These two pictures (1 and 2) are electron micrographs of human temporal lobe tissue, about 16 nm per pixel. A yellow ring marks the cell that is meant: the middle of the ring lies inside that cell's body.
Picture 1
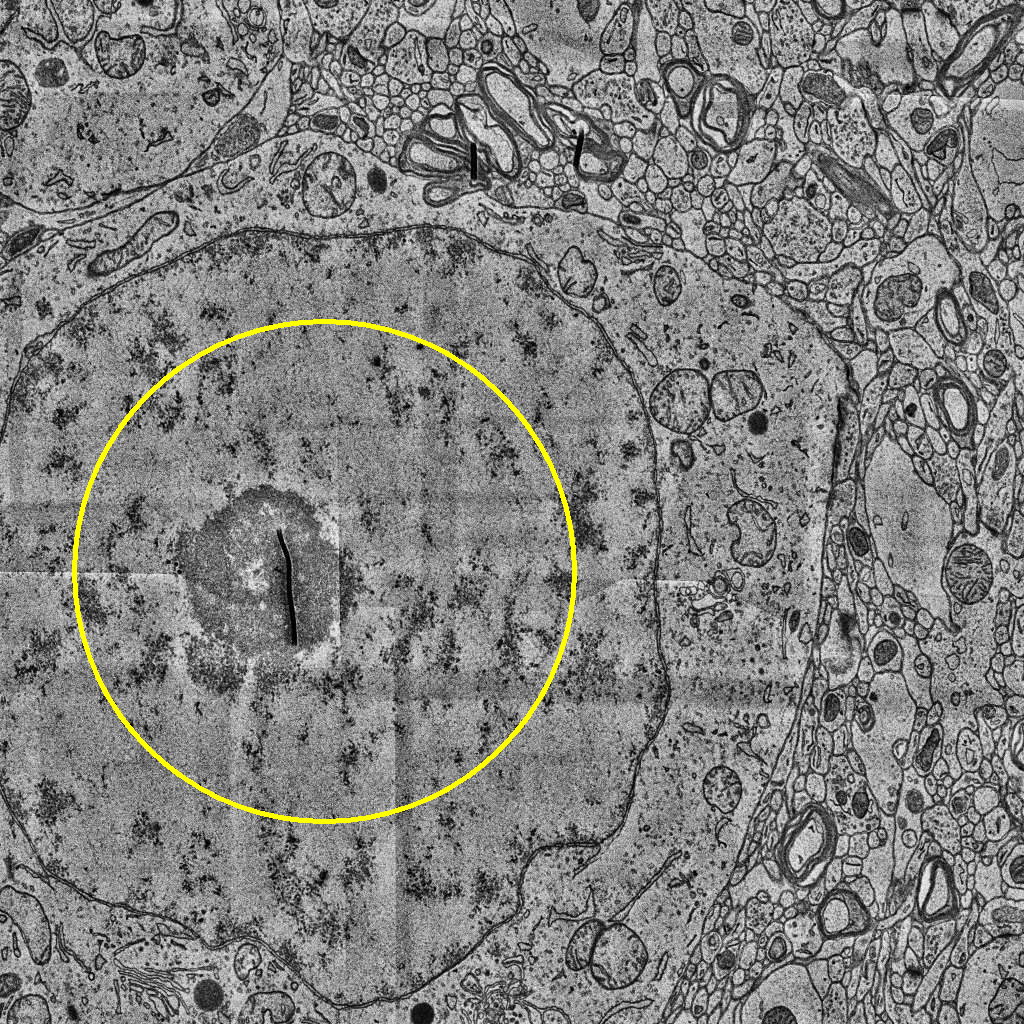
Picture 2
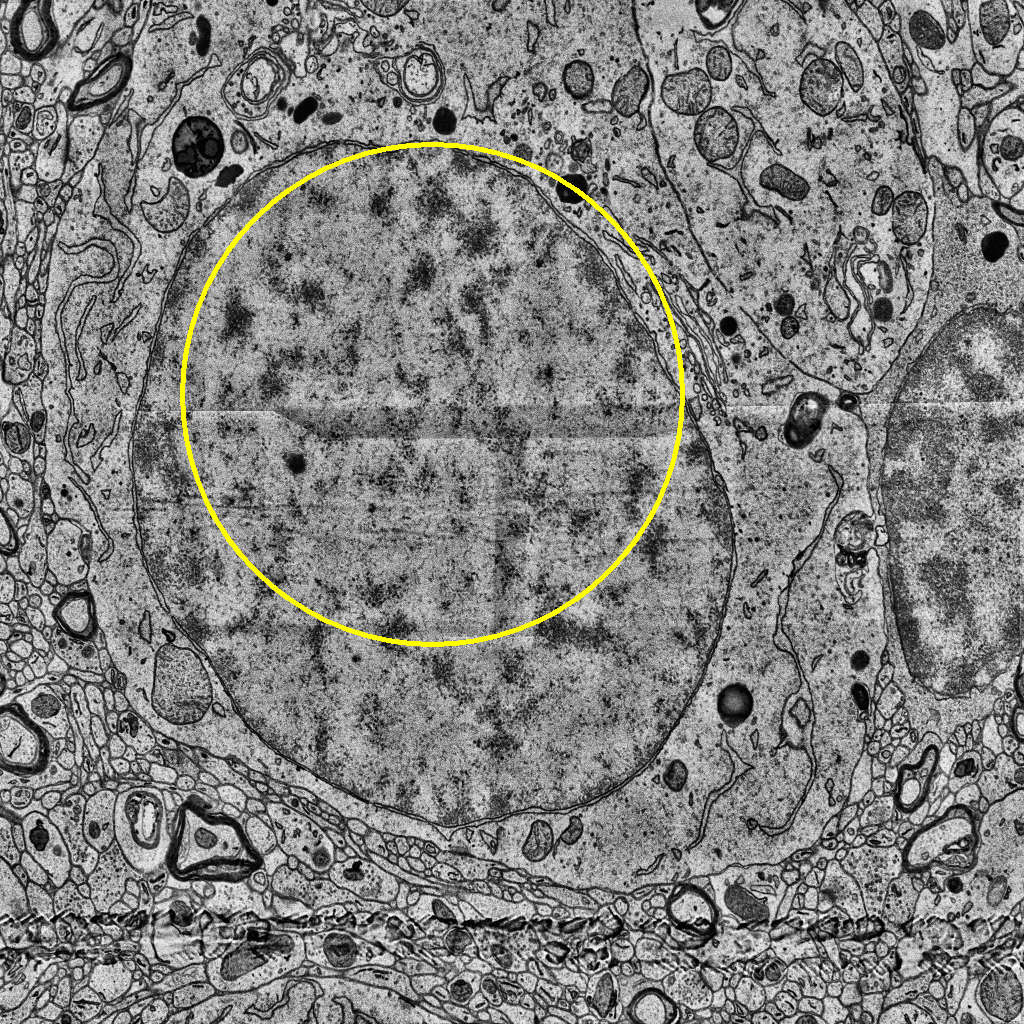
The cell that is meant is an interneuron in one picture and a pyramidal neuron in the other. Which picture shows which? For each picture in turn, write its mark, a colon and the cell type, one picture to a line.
1: pyramidal neuron
2: interneuron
